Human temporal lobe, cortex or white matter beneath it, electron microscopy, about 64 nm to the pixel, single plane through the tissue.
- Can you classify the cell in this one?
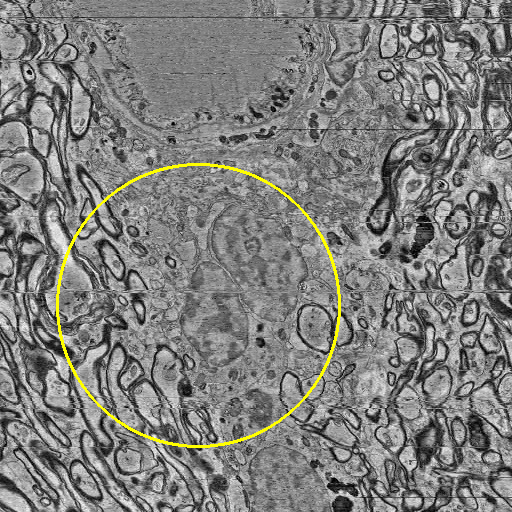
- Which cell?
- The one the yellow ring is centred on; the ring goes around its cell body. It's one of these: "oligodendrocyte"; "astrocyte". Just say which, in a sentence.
The cell body in the ring belongs to an oligodendrocyte.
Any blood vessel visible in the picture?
Yes, a blood vessel shows in the picture.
